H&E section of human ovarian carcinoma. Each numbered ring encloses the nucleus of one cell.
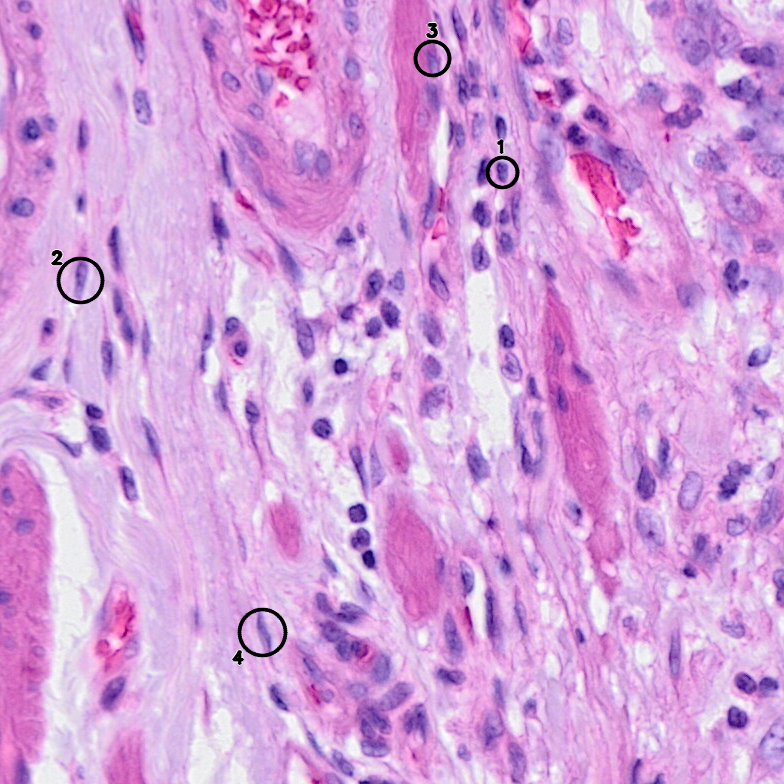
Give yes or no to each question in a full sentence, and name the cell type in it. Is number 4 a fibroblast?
Yes, in this section the cell with number 4 is a fibroblast.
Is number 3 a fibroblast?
No, the cell bearing the number 3 is a smooth muscle cell, not a fibroblast.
